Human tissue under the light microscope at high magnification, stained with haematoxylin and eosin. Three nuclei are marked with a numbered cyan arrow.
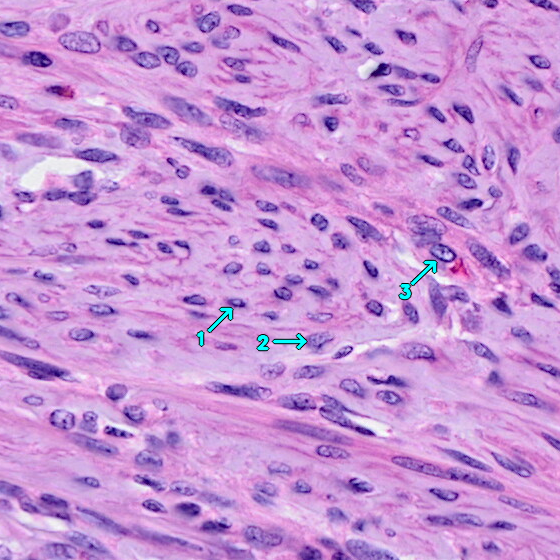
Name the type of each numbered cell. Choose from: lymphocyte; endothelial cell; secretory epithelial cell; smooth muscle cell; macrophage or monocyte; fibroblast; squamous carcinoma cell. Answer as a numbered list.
1. smooth muscle cell
2. smooth muscle cell
3. endothelial cell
